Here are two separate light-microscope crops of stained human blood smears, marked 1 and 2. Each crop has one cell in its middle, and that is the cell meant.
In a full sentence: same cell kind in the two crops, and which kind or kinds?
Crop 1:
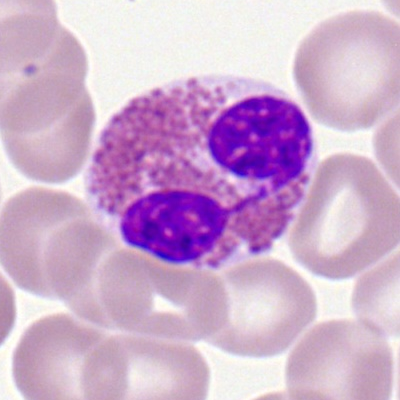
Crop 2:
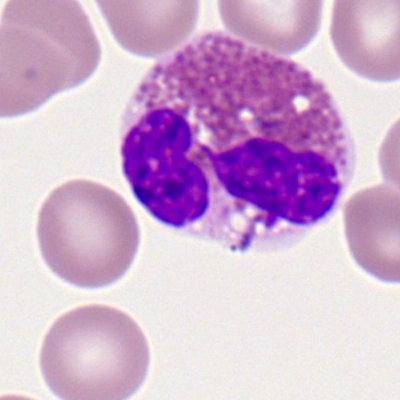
Yes, both crops show eosinophils, each crop centred on one of them.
